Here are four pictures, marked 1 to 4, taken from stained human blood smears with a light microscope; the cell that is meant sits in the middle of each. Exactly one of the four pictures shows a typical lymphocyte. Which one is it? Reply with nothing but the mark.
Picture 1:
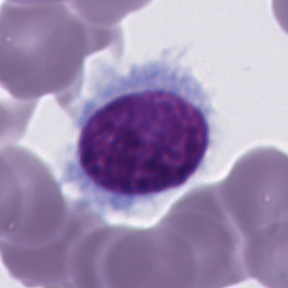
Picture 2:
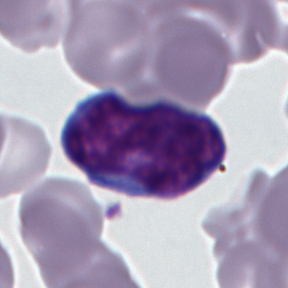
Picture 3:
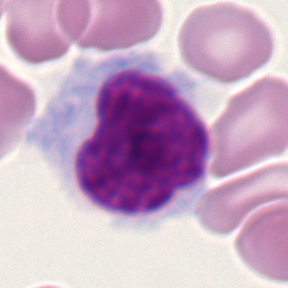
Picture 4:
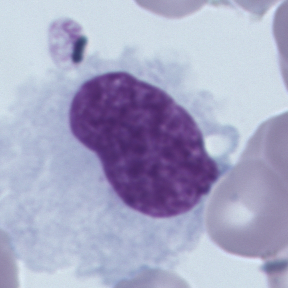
2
